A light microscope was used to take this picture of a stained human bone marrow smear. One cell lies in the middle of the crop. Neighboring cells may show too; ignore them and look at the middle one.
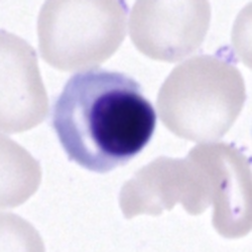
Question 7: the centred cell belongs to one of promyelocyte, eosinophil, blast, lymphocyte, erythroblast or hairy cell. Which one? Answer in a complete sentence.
The central cell shown in this smear crop is an erythroblast.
